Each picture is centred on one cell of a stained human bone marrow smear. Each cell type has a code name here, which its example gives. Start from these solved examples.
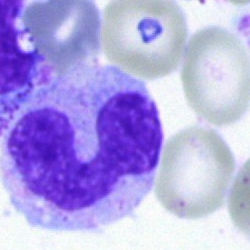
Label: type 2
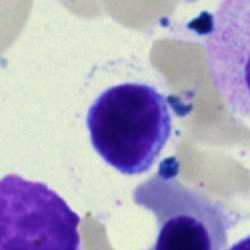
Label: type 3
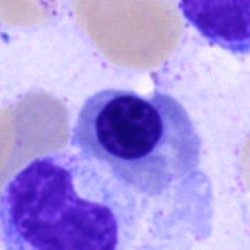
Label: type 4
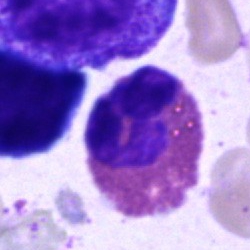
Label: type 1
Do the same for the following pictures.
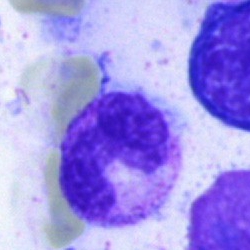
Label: type 2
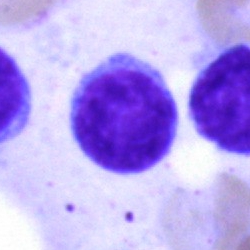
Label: type 3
